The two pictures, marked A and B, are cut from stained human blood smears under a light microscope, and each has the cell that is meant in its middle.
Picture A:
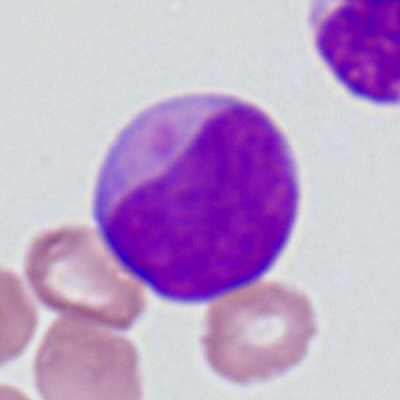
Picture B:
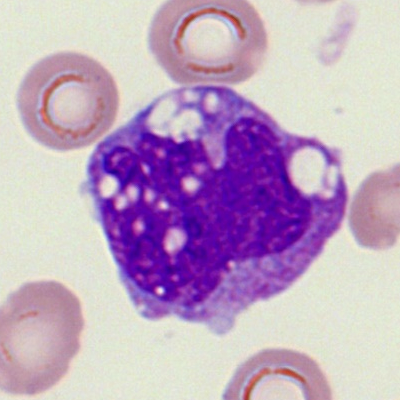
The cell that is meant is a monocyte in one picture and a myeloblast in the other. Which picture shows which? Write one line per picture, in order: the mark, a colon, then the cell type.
A: myeloblast
B: monocyte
